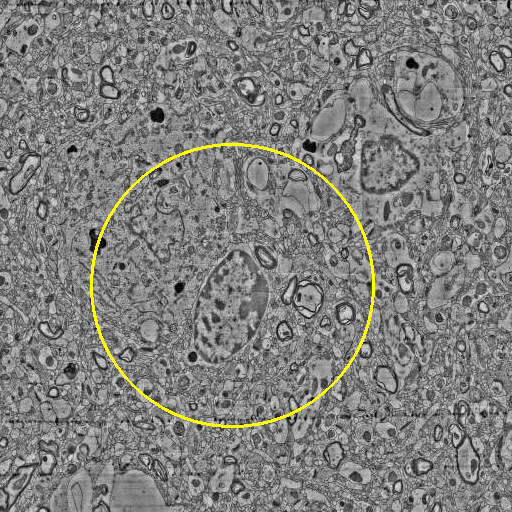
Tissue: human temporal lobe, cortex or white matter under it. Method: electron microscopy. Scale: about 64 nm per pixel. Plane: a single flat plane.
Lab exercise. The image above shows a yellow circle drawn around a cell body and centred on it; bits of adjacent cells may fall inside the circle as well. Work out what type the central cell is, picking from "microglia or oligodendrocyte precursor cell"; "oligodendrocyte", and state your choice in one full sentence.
In the image above, the cell at the centre of the yellow circle is a microglial cell or oligodendrocyte precursor cell.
